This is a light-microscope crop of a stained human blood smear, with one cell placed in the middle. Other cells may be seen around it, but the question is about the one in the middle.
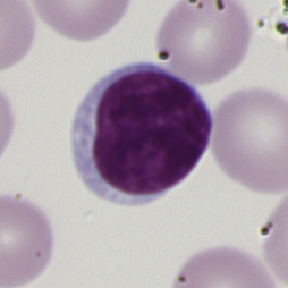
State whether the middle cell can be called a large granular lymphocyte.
no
